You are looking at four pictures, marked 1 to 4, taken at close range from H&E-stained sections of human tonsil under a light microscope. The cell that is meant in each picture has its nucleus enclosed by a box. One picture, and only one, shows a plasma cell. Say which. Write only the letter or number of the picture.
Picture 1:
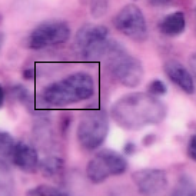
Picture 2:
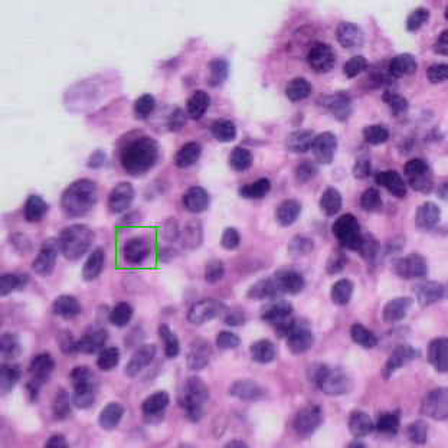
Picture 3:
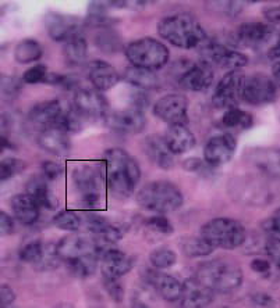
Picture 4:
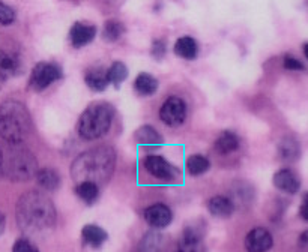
4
